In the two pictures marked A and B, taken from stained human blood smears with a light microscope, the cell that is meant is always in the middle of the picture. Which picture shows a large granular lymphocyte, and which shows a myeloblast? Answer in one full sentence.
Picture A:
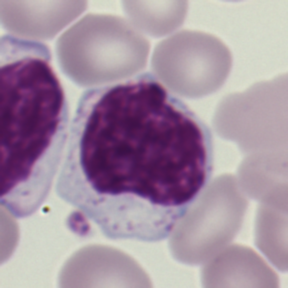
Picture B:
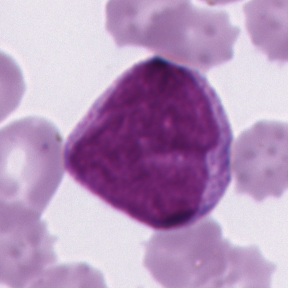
Picture A shows a large granular lymphocyte and picture B shows a myeloblast.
